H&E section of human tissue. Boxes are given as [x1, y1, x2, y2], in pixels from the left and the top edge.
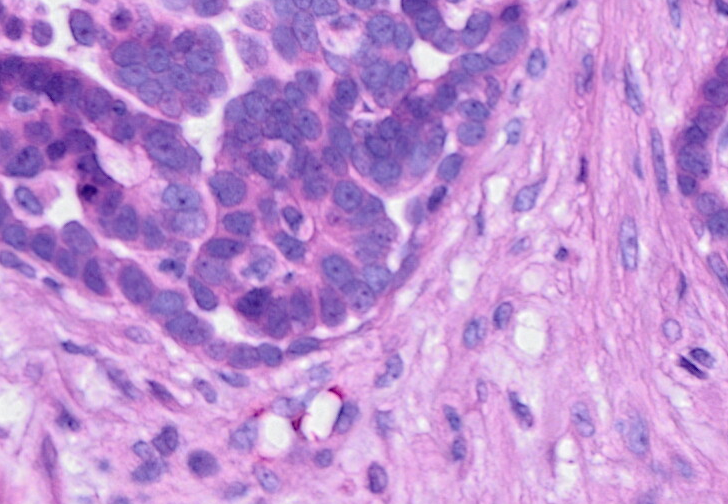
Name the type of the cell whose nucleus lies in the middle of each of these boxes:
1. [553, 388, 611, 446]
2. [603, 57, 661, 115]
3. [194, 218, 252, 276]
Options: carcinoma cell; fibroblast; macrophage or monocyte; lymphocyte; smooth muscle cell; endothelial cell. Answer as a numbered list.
1. fibroblast
2. fibroblast
3. carcinoma cell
